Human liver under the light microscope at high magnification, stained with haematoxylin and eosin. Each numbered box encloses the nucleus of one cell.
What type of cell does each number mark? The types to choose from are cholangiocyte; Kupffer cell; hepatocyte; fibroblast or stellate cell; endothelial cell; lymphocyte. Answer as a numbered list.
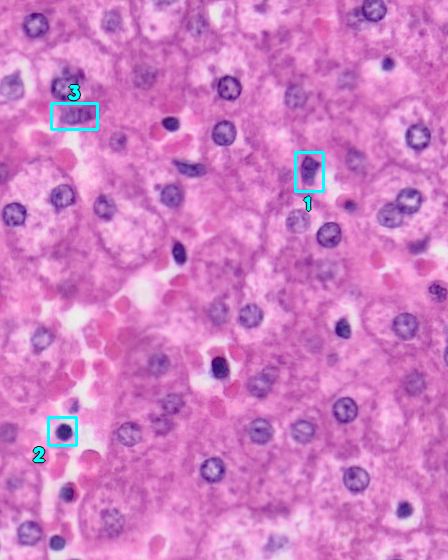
1. endothelial cell
2. lymphocyte
3. Kupffer cell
